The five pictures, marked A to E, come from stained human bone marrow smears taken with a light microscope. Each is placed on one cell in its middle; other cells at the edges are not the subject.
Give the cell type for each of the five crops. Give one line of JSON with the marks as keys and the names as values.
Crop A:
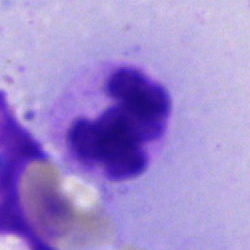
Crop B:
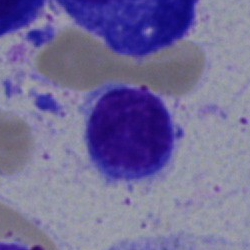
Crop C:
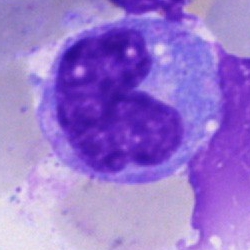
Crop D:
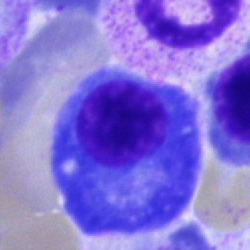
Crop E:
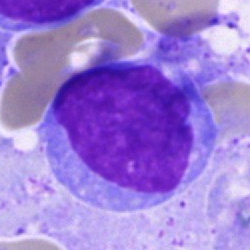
{"A": "neutrophil", "B": "lymphocyte", "C": "monocyte", "D": "plasma cell", "E": "blast"}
